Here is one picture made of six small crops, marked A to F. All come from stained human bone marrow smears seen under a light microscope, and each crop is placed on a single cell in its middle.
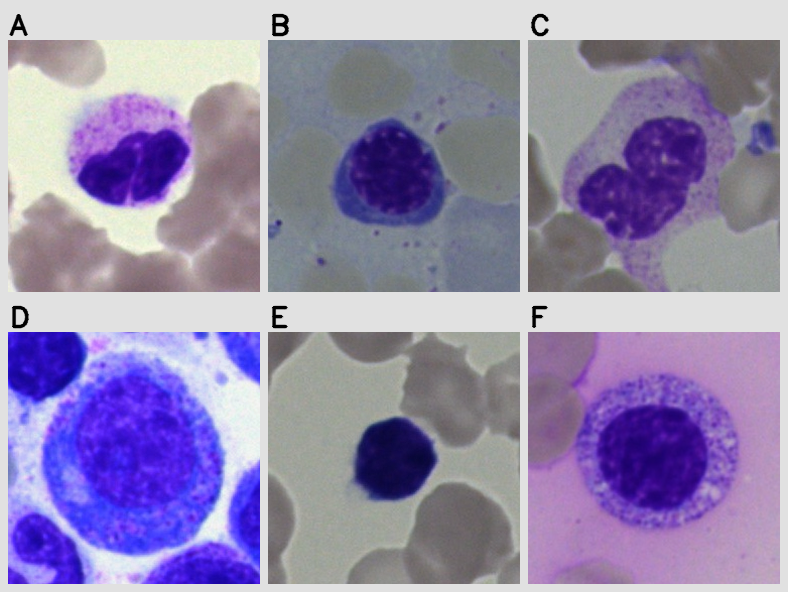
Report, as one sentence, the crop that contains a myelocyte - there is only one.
The crop that has a myelocyte in the middle is crop F.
